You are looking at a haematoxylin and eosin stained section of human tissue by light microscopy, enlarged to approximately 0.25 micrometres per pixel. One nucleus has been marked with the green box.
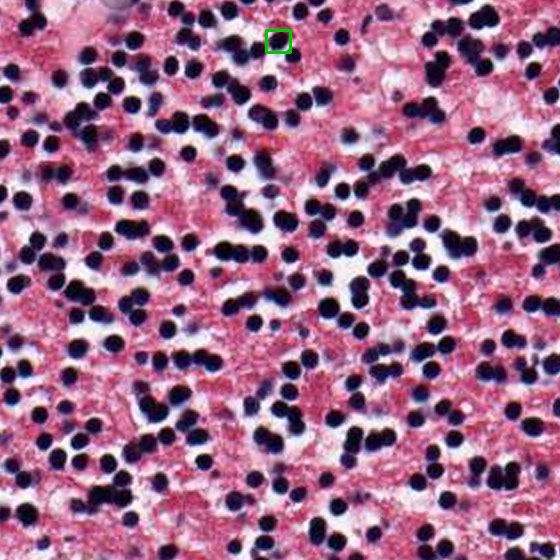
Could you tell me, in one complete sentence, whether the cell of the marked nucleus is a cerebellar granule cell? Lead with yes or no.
Yes, the cell that houses the marked nucleus is a cerebellar granule cell.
